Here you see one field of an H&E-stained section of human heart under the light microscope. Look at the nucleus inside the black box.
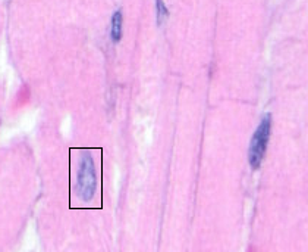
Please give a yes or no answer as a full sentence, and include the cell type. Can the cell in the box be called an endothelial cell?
No, just to correct that, the cell in the box is a cardiomyocyte and not an endothelial cell.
